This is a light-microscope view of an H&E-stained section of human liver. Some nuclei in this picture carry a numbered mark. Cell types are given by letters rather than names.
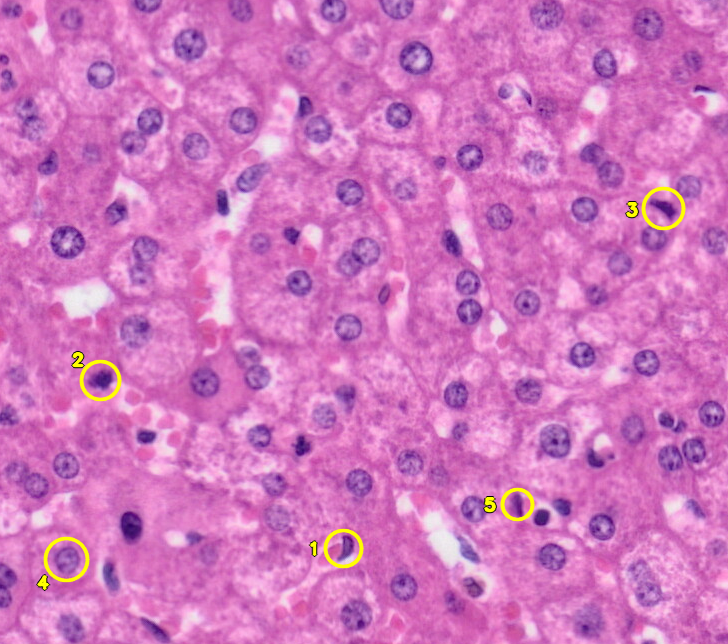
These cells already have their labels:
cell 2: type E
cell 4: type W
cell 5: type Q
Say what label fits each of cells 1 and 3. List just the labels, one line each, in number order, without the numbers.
type Q
type E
